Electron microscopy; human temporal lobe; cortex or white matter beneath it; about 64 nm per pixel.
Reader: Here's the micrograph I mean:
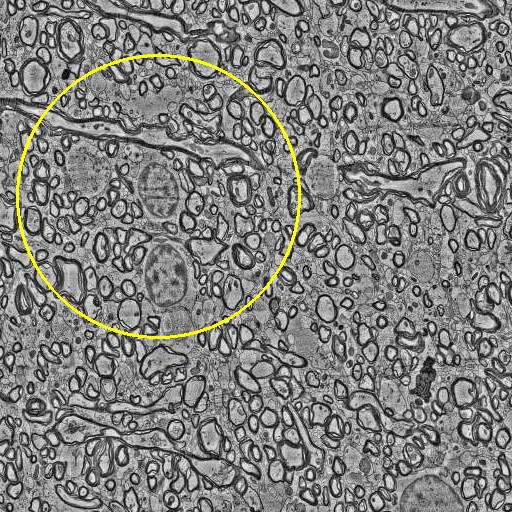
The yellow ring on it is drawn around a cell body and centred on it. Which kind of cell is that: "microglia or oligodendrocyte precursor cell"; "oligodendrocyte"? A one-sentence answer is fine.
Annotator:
The ring is centred on a microglial cell or oligodendrocyte precursor cell.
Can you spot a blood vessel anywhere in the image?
No, none shows.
